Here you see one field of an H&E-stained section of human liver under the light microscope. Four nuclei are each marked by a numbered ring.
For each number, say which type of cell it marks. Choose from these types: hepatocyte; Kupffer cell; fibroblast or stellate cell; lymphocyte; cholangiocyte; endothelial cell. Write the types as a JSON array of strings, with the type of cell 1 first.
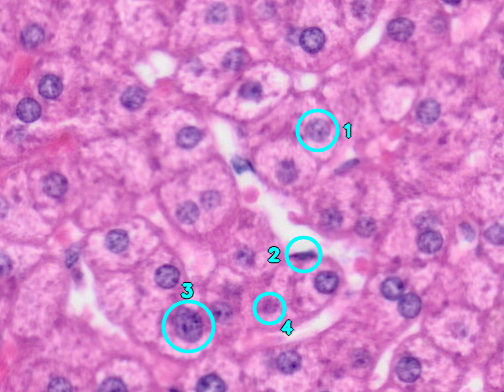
["hepatocyte", "endothelial cell", "hepatocyte", "hepatocyte"]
